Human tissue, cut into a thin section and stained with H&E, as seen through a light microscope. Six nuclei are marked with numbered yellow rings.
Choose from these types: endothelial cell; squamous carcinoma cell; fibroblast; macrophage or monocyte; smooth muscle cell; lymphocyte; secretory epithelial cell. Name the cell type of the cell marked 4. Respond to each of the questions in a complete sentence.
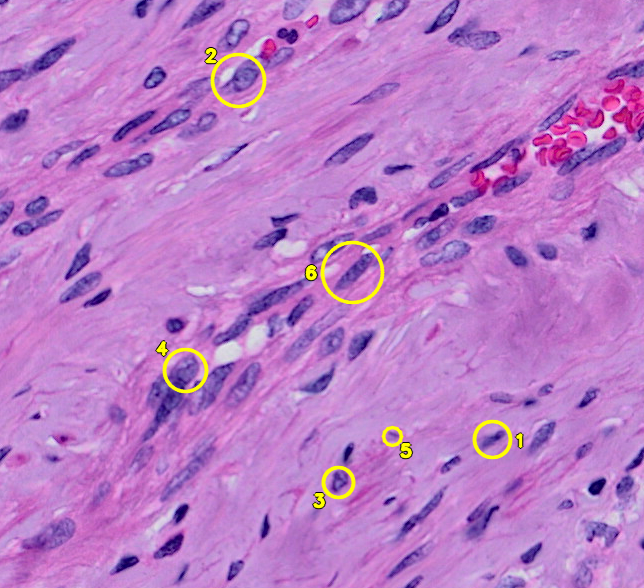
Cell 4 in the field is an endothelial cell.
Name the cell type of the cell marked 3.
The identity of cell 3 is that of a smooth muscle cell.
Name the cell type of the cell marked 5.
What the number 5 marks in this field is a smooth muscle cell.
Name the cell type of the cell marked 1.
The cell referred to as 1 is a fibroblast.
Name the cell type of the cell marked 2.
The one labeled 2 is an endothelial cell, to put it simply.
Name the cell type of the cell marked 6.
Recognised here as an endothelial cell is the cell numbered 6.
